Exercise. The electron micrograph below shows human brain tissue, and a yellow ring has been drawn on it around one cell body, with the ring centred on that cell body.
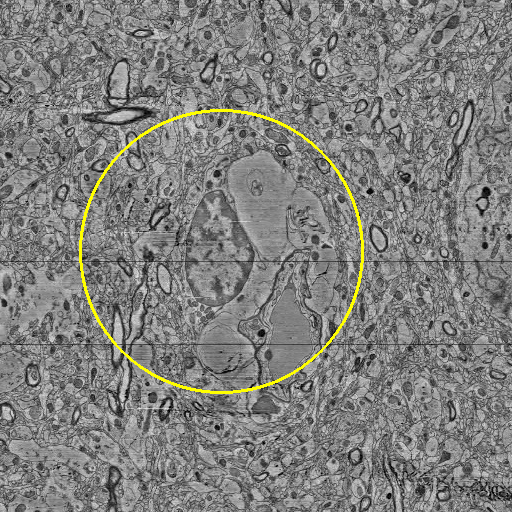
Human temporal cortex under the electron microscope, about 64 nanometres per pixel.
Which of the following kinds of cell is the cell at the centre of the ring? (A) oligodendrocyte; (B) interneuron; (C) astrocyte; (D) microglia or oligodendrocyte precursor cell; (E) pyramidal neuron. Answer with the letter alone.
D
